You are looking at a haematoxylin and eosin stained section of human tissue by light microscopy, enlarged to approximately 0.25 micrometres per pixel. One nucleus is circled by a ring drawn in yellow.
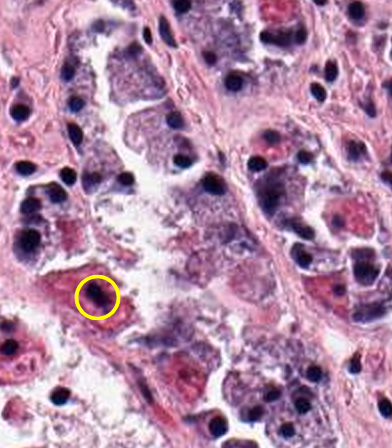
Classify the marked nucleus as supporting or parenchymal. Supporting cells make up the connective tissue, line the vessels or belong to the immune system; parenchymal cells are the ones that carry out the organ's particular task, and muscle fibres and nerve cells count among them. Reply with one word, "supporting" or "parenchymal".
parenchymal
